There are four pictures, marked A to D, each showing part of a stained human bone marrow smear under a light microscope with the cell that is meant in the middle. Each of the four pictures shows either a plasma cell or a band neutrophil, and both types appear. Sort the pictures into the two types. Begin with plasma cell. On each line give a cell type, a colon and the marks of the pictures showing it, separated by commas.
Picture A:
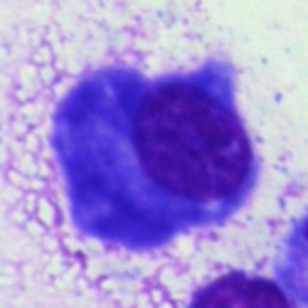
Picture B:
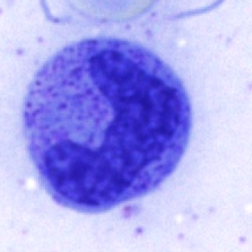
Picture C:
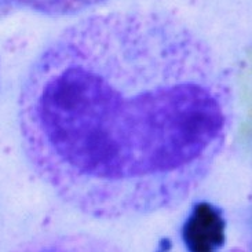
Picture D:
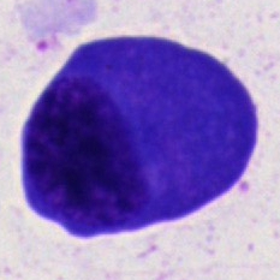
plasma cell: A, D
band neutrophil: B, C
